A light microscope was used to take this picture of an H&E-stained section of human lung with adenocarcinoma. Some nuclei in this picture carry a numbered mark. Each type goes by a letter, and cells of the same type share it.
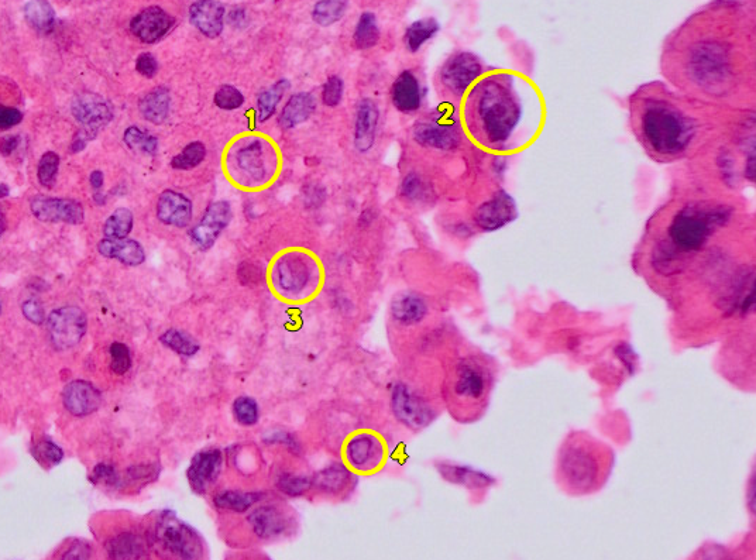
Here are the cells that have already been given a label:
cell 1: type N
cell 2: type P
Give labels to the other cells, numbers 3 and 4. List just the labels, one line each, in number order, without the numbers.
type N
type N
